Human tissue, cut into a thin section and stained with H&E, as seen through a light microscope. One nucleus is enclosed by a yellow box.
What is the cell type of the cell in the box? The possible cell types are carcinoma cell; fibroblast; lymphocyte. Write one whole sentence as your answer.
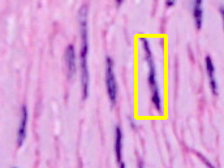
The cell type of the cell in the box is that of a fibroblast.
